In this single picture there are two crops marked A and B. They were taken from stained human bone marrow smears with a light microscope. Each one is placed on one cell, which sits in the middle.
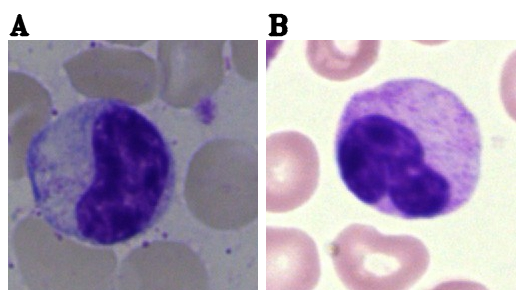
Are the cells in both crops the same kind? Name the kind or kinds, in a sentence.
No, crop A shows a metamyelocyte, whereas a band neutrophil is what crop B shows.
